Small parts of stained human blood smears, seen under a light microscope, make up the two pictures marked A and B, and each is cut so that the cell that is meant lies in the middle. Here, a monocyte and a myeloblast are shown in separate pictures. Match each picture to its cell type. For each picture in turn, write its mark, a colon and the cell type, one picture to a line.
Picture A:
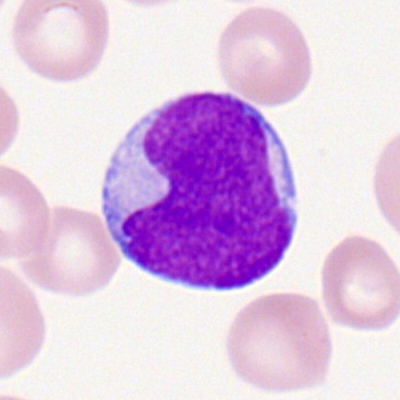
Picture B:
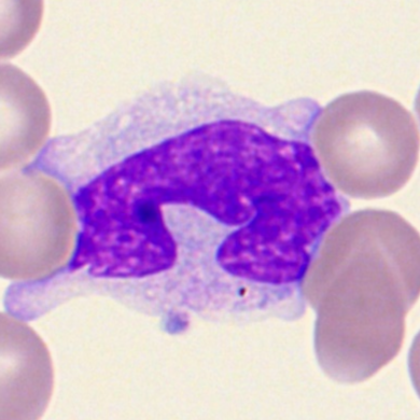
A: myeloblast
B: monocyte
